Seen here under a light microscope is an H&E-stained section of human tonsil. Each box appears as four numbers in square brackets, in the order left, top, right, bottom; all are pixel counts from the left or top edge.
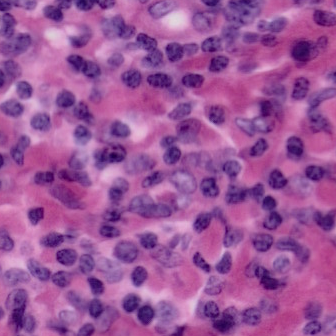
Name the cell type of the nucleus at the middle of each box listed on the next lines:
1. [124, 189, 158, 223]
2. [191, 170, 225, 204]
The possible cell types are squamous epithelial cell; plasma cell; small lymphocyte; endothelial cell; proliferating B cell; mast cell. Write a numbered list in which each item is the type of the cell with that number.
1. endothelial cell
2. plasma cell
